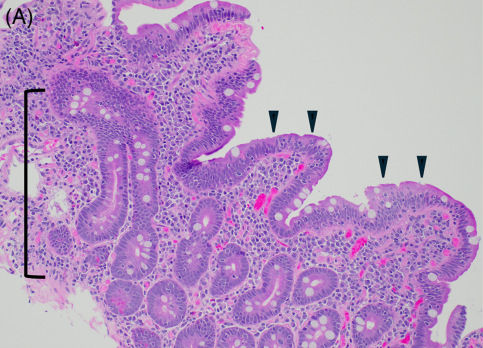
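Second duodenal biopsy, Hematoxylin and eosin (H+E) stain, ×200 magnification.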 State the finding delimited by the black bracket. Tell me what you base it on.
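Hyperplasia of the crypts. The bracket spans a deep zone of many closely packed tubular glands cut in cross and longitudinal section. The glands in this zone are lined by crowded columnar cells with dark nuclei and occupy much of the mucosal depth.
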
